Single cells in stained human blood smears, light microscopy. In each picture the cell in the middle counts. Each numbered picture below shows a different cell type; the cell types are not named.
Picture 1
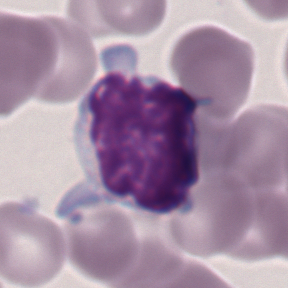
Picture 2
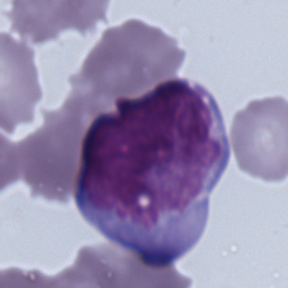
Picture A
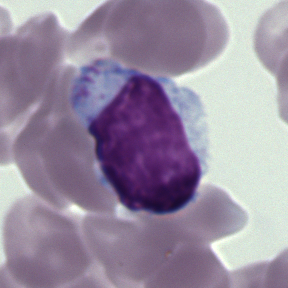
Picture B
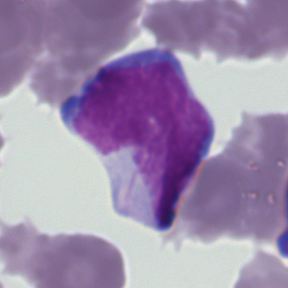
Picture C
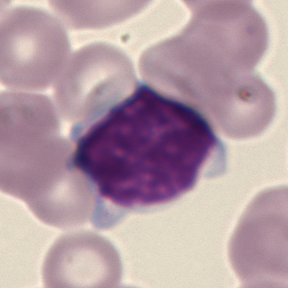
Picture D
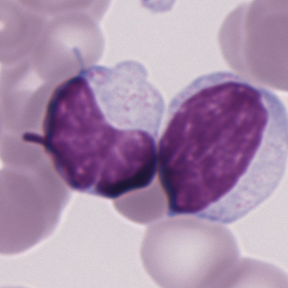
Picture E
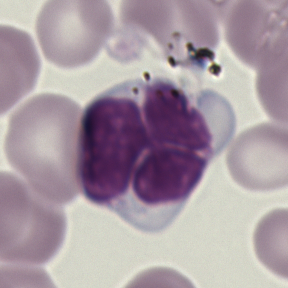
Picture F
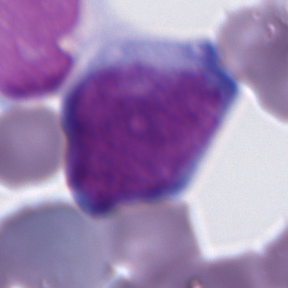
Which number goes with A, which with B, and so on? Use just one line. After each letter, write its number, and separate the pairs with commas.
A 1, B 2, C 1, D 1, E 1, F 2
